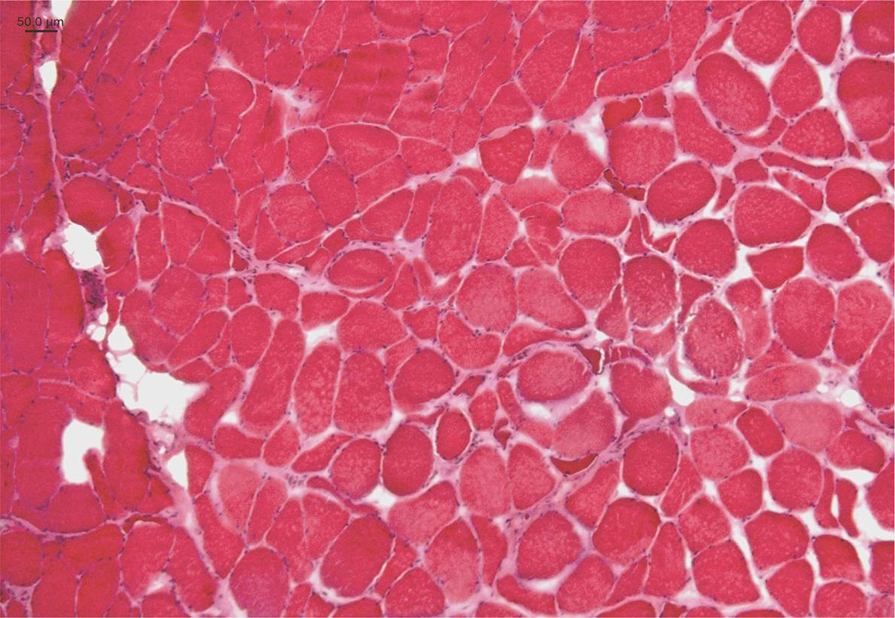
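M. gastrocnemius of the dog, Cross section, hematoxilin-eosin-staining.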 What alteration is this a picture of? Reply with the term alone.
Pathological variation of muscle fibre caliber sizes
